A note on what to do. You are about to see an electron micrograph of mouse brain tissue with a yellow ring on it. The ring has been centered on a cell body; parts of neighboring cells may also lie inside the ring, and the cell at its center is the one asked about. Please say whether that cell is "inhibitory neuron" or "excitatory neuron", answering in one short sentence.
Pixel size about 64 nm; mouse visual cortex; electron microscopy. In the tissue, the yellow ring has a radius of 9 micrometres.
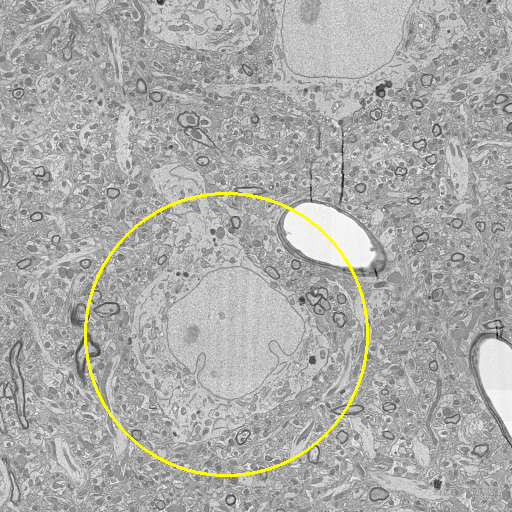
The yellow ring sits on an excitatory neuron.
